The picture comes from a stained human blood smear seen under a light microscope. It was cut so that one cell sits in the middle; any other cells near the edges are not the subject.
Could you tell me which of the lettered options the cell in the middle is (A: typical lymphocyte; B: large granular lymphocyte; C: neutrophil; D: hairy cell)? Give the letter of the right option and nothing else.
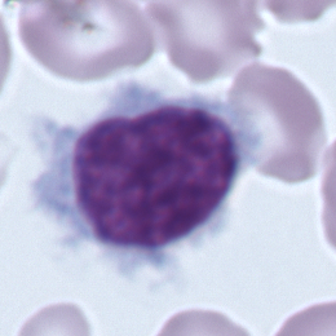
D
